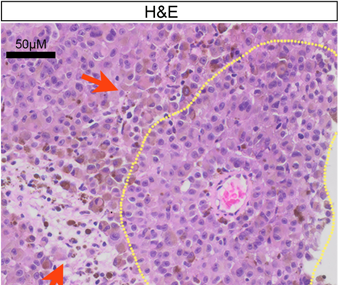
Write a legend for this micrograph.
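This is a melanoma in which the tumor cells crowd around a small blood vessel, seen in the middle as a round space filled with red blood cells. Close to the vessel the tumor cells form a dense sheet of polygonal cells with round nuclei and pink cytoplasm. Farther away, at the edges, the cells become looser and shrunken, many carrying brown pigment, marking less viable tumor.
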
